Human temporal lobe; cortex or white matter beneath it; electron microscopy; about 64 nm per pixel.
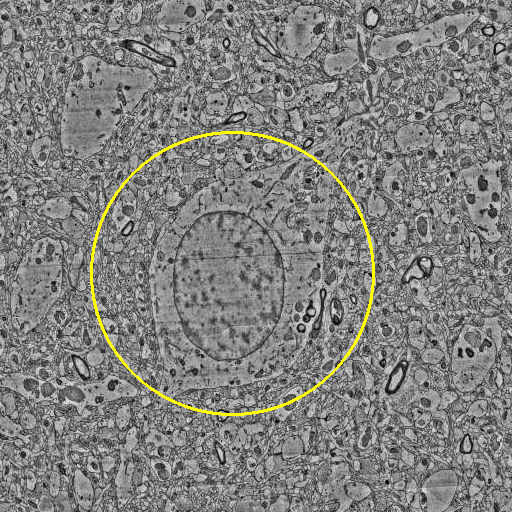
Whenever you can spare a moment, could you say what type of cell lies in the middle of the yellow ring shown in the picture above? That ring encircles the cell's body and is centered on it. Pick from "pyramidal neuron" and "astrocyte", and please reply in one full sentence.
The cell whose body sits at the middle of the yellow ring is a pyramidal neuron.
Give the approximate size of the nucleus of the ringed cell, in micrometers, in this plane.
The nucleus comes to roughly 10 by 7 micrometres in this plane.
